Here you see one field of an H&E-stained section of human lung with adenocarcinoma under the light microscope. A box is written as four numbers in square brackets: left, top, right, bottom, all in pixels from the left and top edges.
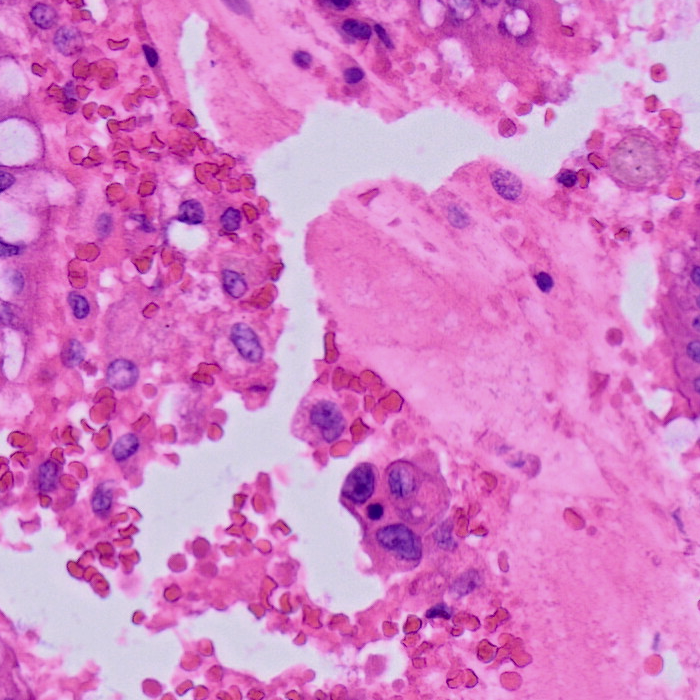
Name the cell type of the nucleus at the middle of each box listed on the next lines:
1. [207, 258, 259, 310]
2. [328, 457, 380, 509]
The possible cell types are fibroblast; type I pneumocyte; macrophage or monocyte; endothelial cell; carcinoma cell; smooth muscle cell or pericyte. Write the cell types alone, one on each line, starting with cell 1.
macrophage or monocyte
carcinoma cell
